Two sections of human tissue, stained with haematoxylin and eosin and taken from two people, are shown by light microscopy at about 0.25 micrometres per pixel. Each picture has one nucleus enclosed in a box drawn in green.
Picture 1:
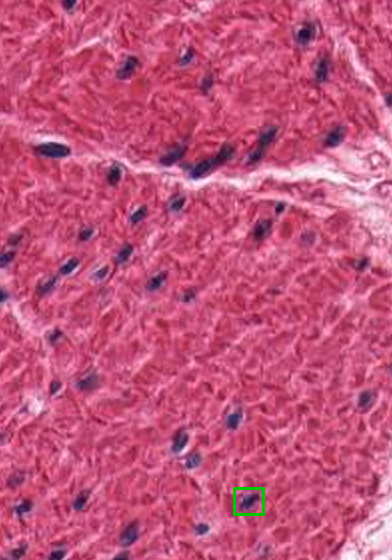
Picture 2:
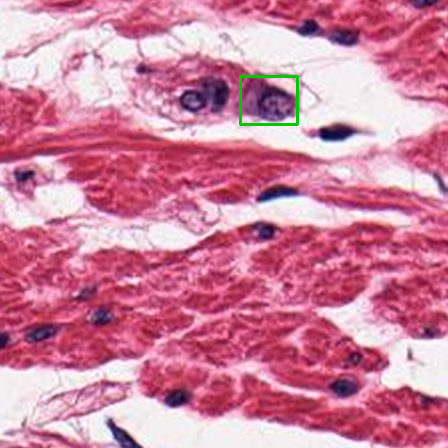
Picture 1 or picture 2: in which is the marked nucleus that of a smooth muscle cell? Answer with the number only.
1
